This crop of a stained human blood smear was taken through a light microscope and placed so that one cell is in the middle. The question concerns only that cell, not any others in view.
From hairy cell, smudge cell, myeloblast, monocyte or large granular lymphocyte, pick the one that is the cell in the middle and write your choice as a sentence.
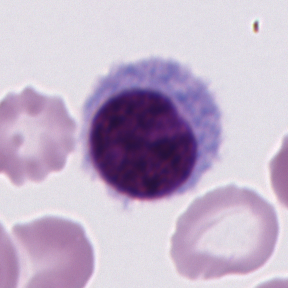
Whatever else lies nearby, the middle cell is a hairy cell.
